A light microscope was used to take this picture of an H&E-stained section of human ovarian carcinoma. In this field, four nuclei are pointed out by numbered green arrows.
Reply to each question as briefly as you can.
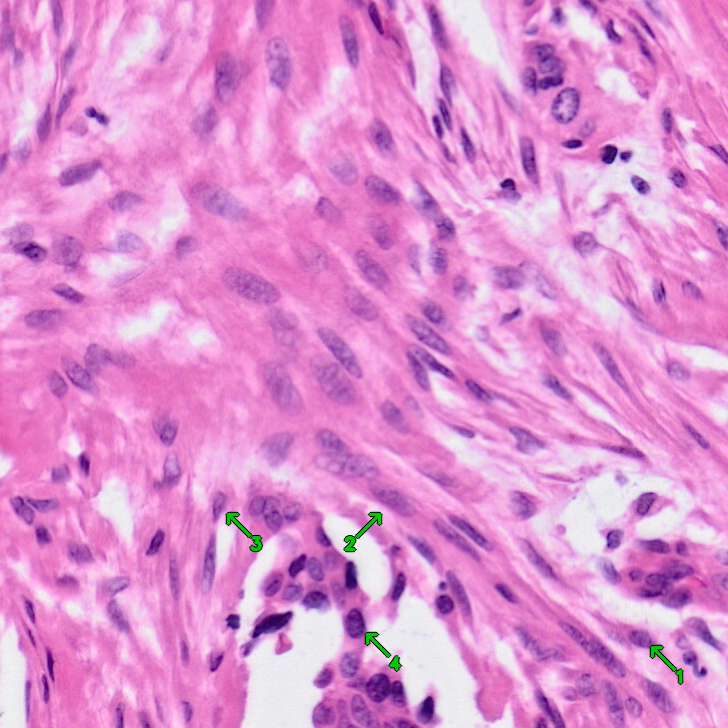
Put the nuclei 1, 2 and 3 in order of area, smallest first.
3, 1, 2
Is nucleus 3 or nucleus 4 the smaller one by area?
3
